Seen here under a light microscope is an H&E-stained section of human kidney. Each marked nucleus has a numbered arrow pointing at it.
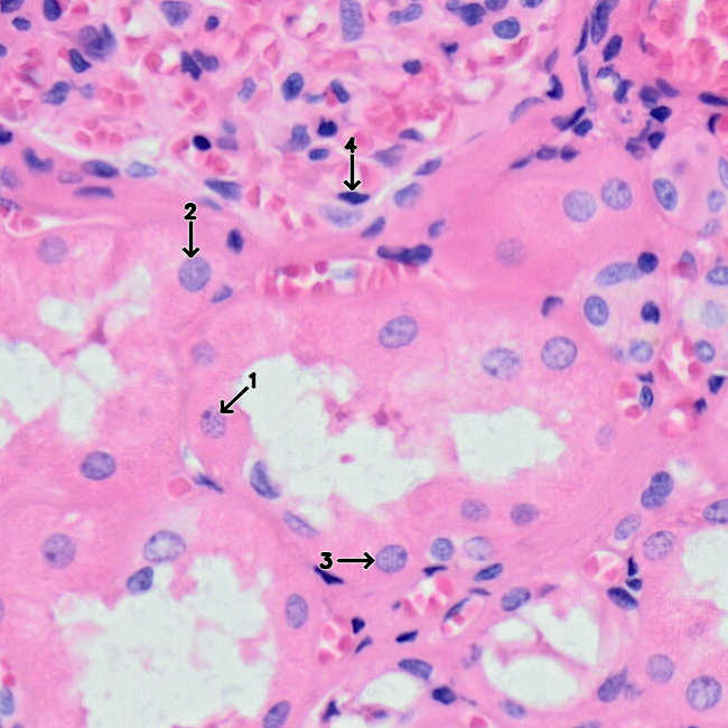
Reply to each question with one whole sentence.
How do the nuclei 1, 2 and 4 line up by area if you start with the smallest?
From smallest to largest, the order is 4, 1, 2.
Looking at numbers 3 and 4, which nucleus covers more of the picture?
Of the two, number 3 is bigger and takes up about 1.5 times the area of number 4.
